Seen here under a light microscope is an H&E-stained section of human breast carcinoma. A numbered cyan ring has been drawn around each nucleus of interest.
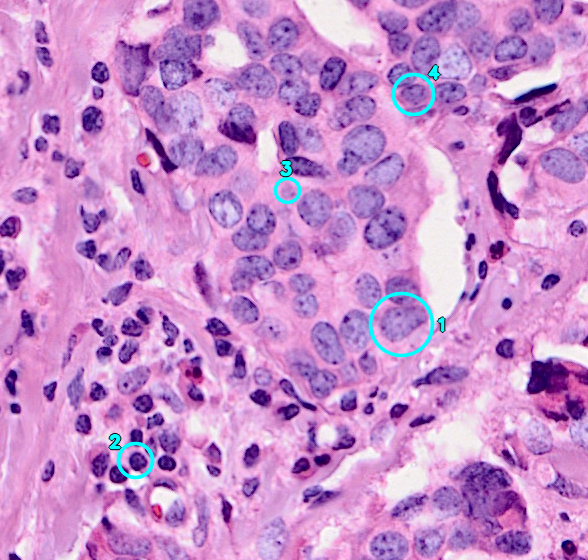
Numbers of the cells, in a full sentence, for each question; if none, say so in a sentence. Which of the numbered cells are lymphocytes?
Of all the cells bearing numbers, cell 2 is the only one that is a lymphocyte.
